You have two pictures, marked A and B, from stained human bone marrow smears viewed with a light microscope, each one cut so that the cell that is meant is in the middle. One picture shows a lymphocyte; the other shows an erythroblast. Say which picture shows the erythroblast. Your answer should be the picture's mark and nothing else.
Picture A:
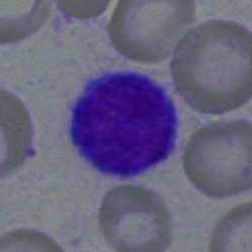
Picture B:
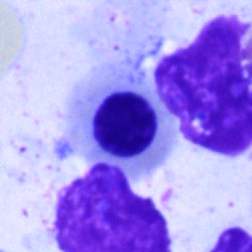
B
